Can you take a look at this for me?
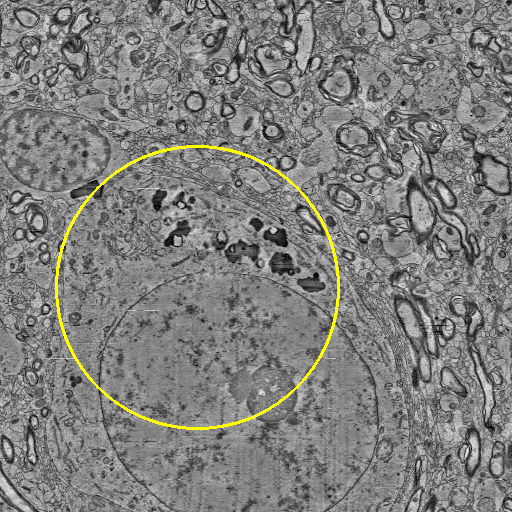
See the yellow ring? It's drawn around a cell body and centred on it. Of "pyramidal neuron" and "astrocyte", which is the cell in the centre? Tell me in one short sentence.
The one in the centre is a pyramidal neuron.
